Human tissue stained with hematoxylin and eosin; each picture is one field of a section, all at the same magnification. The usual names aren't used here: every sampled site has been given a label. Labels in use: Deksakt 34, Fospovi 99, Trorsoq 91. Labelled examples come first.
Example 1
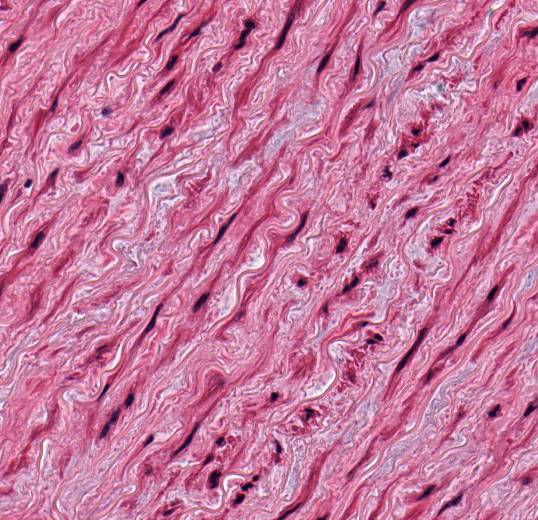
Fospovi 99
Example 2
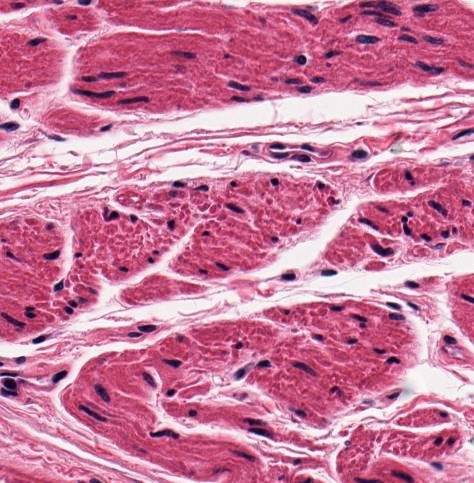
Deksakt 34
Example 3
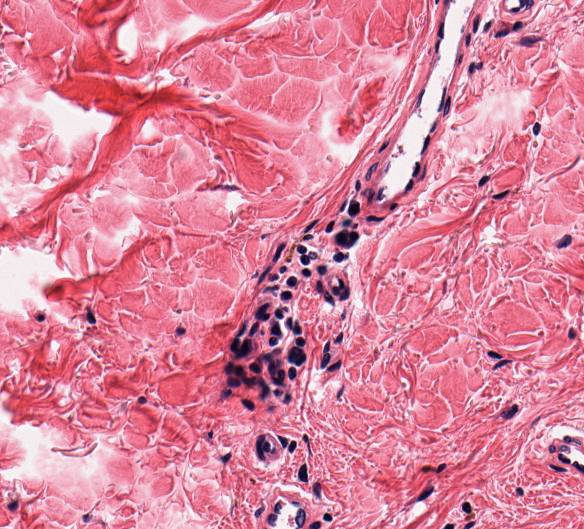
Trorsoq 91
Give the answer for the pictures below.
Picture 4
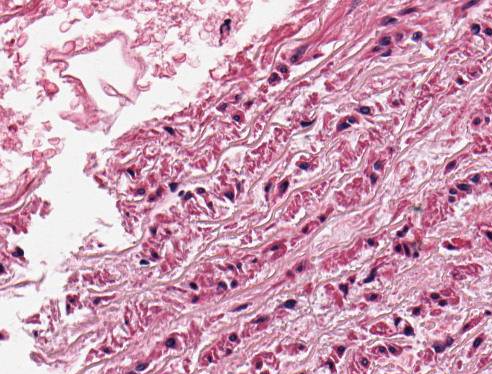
Fospovi 99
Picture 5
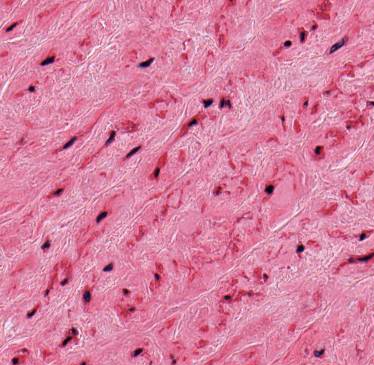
Fospovi 99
